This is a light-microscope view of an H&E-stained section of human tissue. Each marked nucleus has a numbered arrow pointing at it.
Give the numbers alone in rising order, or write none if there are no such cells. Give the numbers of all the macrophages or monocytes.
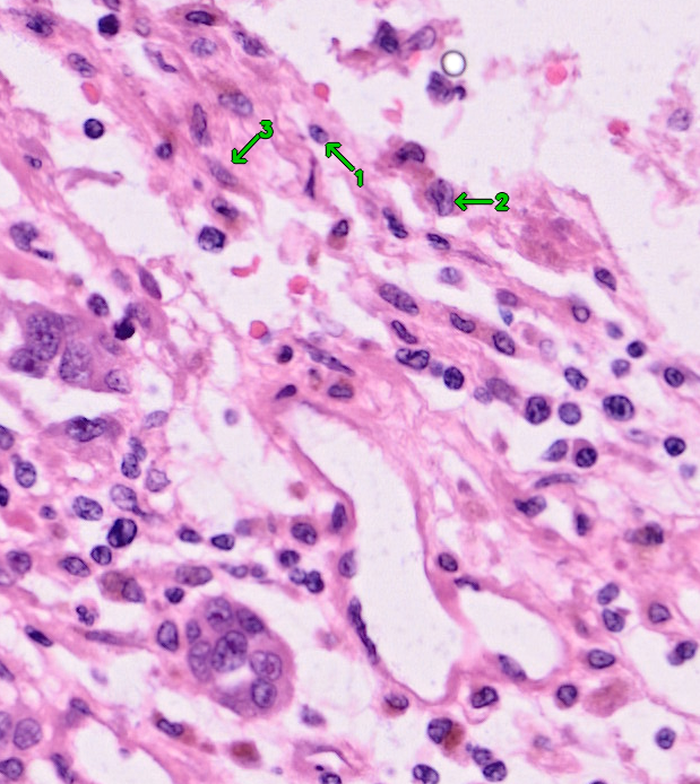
2, 3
